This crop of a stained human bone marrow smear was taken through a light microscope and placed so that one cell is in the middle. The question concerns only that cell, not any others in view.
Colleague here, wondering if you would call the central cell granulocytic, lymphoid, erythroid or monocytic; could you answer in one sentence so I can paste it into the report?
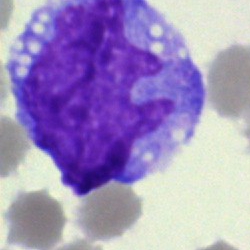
The cell at the center of this crop is of monocytic lineage.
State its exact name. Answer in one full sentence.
In the center of this field lies a monocyte.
